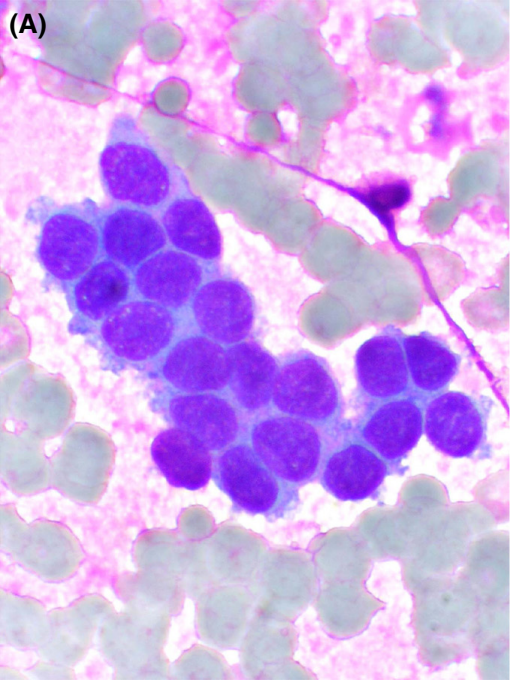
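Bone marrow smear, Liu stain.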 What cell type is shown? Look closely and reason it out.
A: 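Tumor cells. The cells have large round, dark purple nuclei and scant blue cytoplasm. The nuclei press against one another within the cluster.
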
